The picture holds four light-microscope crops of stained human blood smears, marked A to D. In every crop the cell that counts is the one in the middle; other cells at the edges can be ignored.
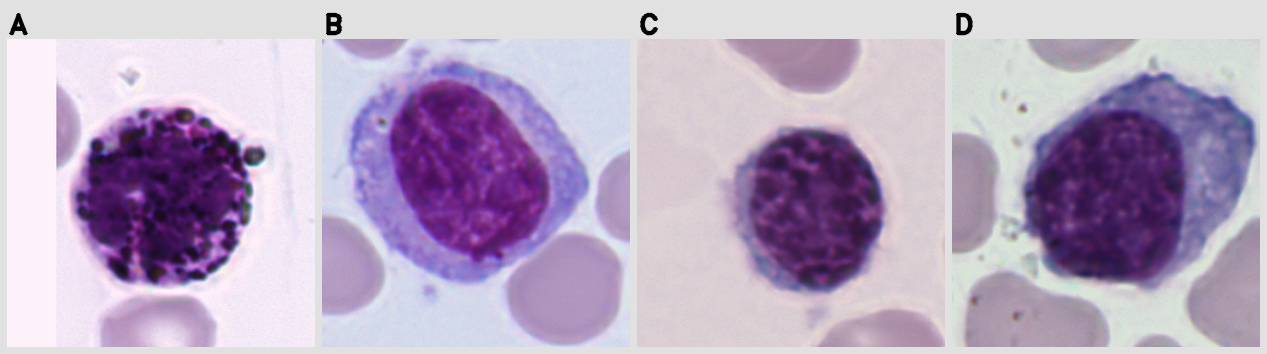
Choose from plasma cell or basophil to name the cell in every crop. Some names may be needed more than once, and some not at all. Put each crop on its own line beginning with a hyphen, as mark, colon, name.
- A: basophil
- B: plasma cell
- C: plasma cell
- D: plasma cell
